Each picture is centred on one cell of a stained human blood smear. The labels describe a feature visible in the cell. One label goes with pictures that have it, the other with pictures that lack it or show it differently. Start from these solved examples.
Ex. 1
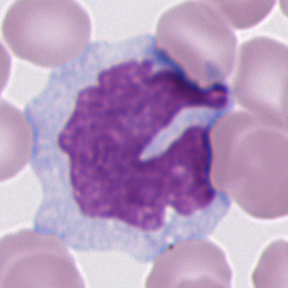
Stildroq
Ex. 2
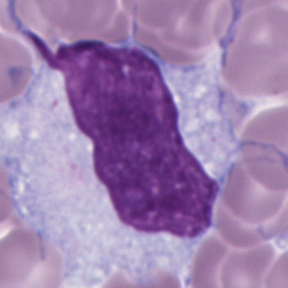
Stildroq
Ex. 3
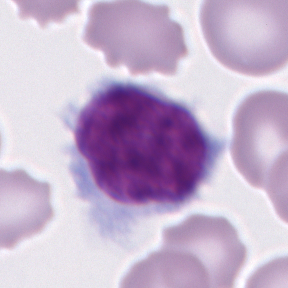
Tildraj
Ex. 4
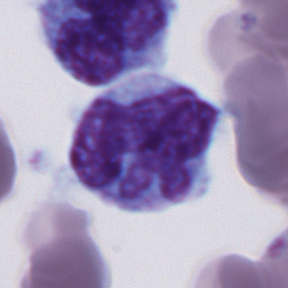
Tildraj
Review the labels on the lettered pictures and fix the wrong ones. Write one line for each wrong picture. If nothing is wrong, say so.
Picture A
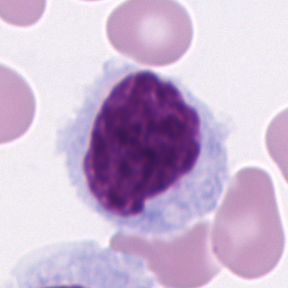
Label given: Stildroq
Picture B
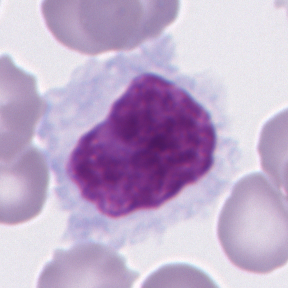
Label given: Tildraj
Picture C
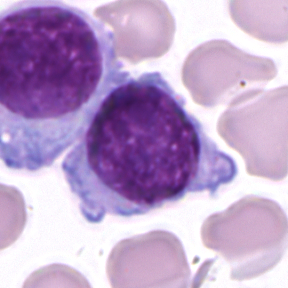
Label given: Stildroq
B is labelled Tildraj; correct label: Stildroq
C is labelled Stildroq; correct label: Tildraj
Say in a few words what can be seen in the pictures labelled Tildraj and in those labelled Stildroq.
In Tildraj: scant cytoplasm. In Stildroq: abundant cytoplasm.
